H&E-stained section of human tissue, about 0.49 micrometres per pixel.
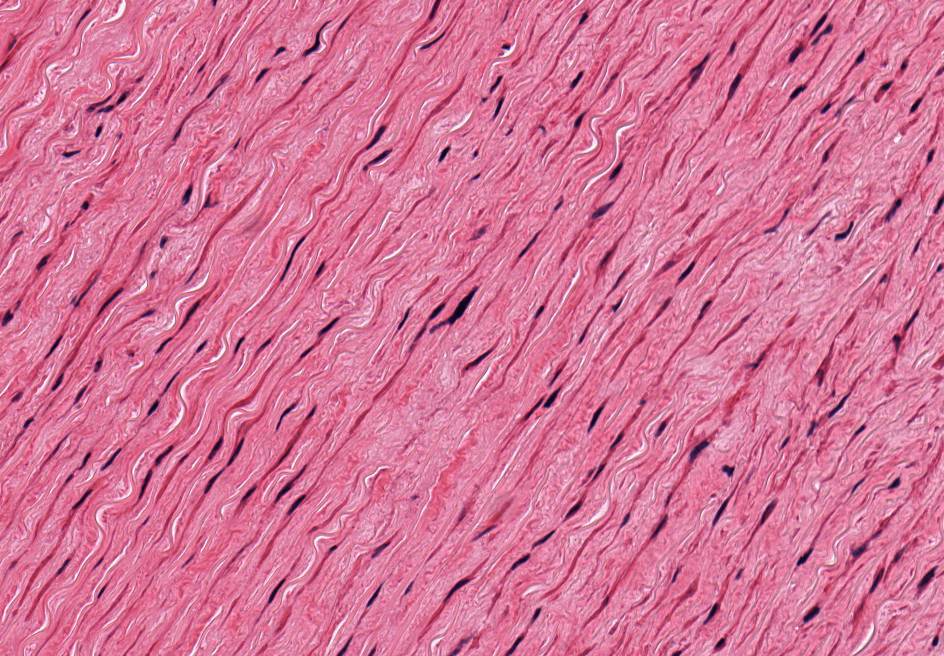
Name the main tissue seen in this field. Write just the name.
tunica media of an artery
